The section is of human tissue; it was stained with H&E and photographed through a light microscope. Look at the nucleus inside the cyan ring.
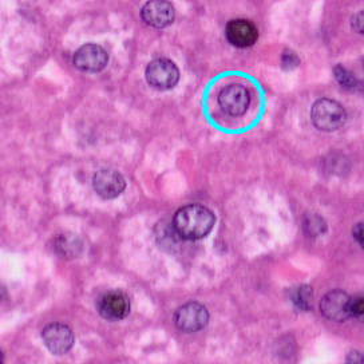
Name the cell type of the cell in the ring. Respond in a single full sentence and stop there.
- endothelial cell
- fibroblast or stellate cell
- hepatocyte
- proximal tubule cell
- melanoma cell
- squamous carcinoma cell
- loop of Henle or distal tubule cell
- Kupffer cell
At the level of cell identity, the cell in the ring is a hepatocyte.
